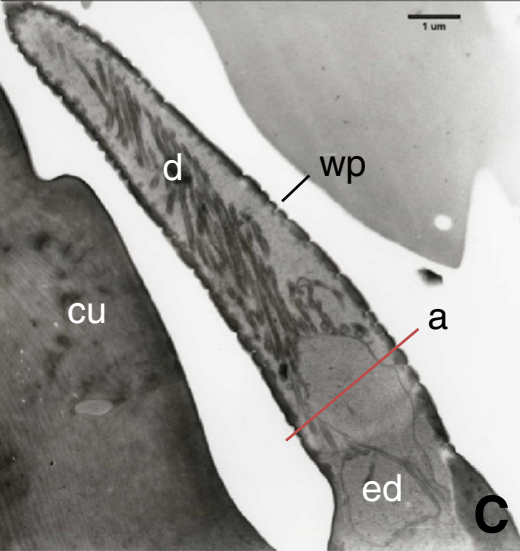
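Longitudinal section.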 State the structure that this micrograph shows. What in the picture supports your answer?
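The peg has a thin wall with a finely beaded outline. Its lumen holds many elongated dense profiles. So: sensillum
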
